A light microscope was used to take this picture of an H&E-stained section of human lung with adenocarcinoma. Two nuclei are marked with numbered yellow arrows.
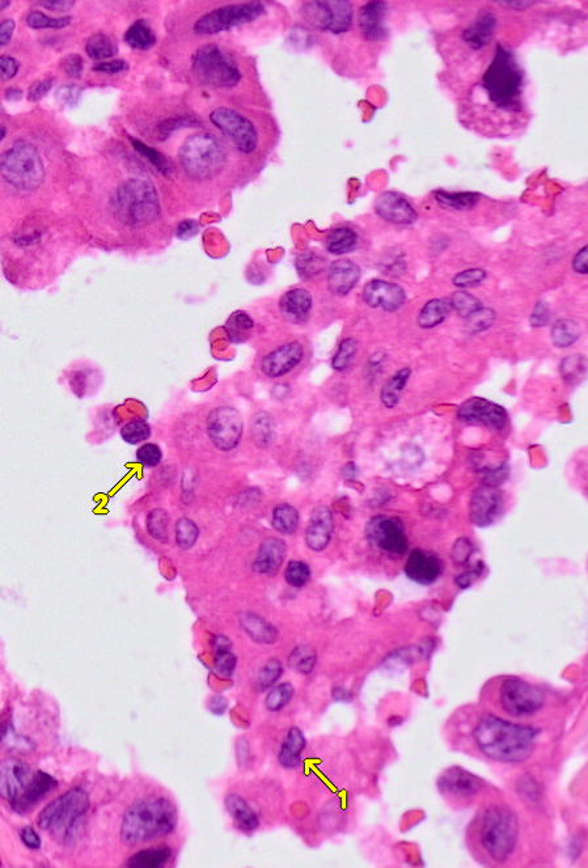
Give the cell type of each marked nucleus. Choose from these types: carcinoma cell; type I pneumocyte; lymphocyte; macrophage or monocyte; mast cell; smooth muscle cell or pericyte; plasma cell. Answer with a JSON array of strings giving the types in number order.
["macrophage or monocyte", "lymphocyte"]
